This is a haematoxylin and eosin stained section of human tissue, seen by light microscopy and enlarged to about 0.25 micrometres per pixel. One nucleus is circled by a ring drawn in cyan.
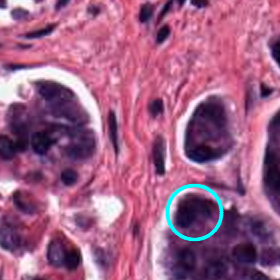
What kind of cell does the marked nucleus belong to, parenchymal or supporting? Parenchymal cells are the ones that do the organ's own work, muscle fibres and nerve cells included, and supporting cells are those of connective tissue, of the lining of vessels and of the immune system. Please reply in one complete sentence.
The nucleus marked here belongs to a parenchymal cell, namely a pancreatic acinar cell.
